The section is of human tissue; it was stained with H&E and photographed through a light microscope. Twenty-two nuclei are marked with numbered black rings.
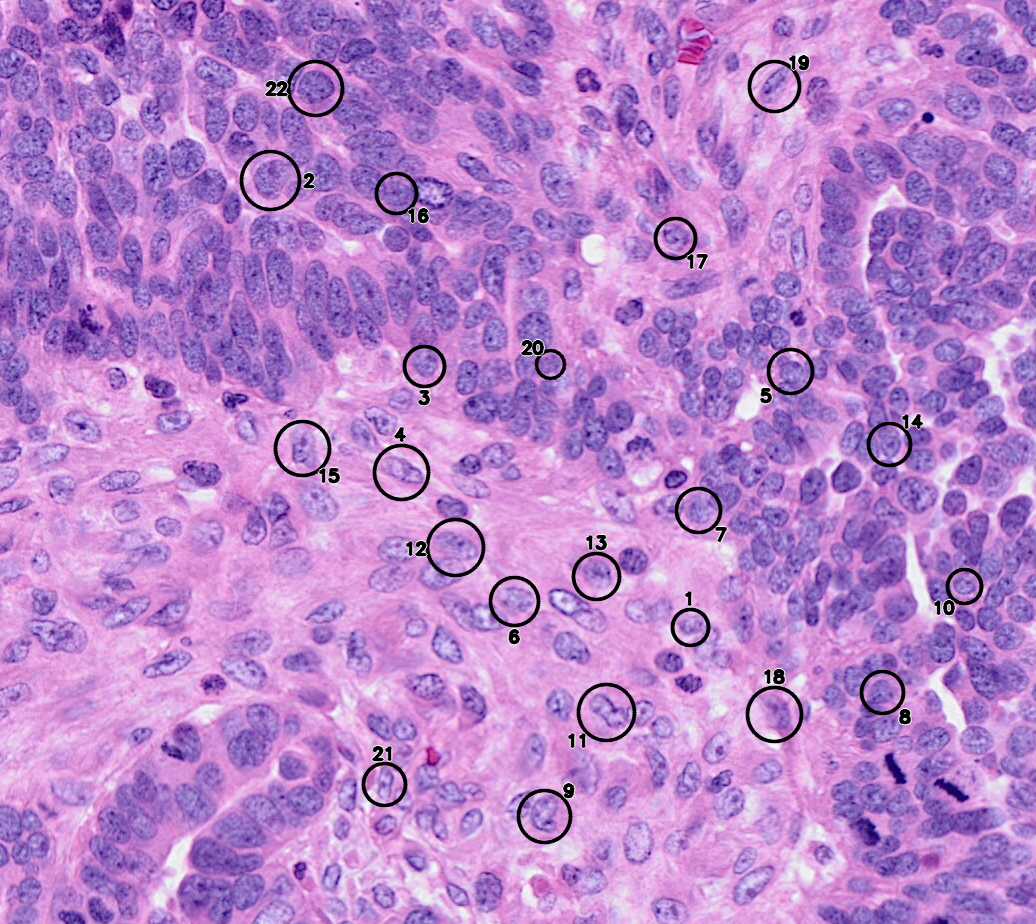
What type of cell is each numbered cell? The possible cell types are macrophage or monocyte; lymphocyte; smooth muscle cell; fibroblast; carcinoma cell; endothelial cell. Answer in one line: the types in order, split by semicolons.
fibroblast; carcinoma cell; carcinoma cell; fibroblast; carcinoma cell; fibroblast; carcinoma cell; carcinoma cell; fibroblast; carcinoma cell; fibroblast; fibroblast; fibroblast; carcinoma cell; fibroblast; carcinoma cell; fibroblast; fibroblast; fibroblast; carcinoma cell; fibroblast; carcinoma cell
